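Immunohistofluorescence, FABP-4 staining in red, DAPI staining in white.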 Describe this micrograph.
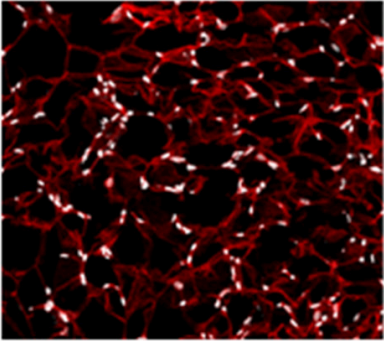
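This is fat tissue, seen as a close mesh of fat cells. Each fat cell shows up as a large, dark, round-to-polygonal space outlined by a thin red rim; the dark interior is where the single big lipid droplet lay, and the red rim is the narrow band of cytoplasm pressed against the cell membrane. Small bright white nuclei sit scattered along the red rims, many gathered in the corners where three or more cells meet. These are the nuclei of the small cells that lie between the fat cells.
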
